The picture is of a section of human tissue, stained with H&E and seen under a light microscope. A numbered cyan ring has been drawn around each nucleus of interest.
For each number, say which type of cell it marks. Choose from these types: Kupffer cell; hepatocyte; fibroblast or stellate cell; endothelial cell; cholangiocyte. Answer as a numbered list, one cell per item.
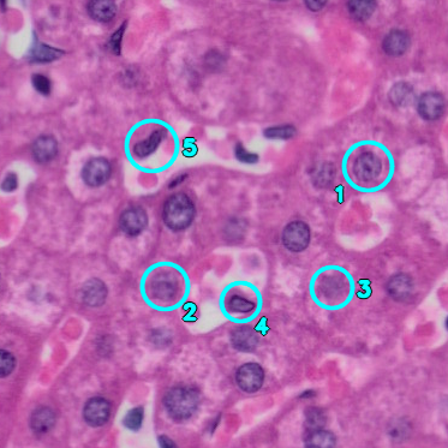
1. hepatocyte
2. hepatocyte
3. hepatocyte
4. Kupffer cell
5. Kupffer cell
